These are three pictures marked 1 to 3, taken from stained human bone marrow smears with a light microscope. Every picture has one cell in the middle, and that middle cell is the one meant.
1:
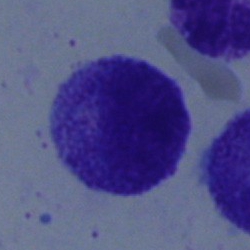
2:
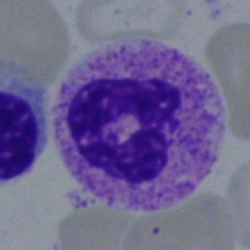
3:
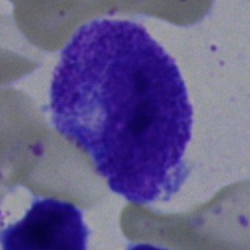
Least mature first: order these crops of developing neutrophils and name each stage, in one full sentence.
The least to most mature sequence reads crop 3 (a promyelocyte), crop 1 (a myelocyte) and crop 2 (a segmented neutrophil).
